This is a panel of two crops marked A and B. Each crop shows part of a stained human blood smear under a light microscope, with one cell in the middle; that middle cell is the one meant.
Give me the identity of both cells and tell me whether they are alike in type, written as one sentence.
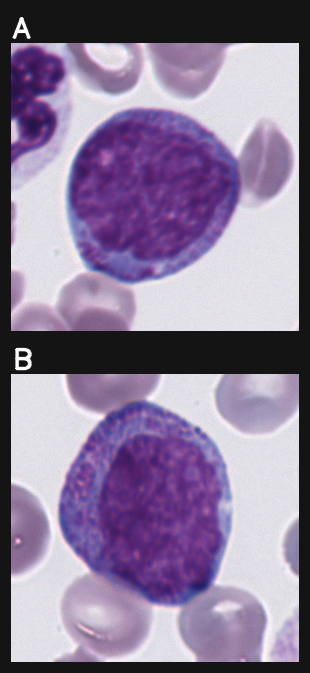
Yes, both crops show promyelocytes, with no exception.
